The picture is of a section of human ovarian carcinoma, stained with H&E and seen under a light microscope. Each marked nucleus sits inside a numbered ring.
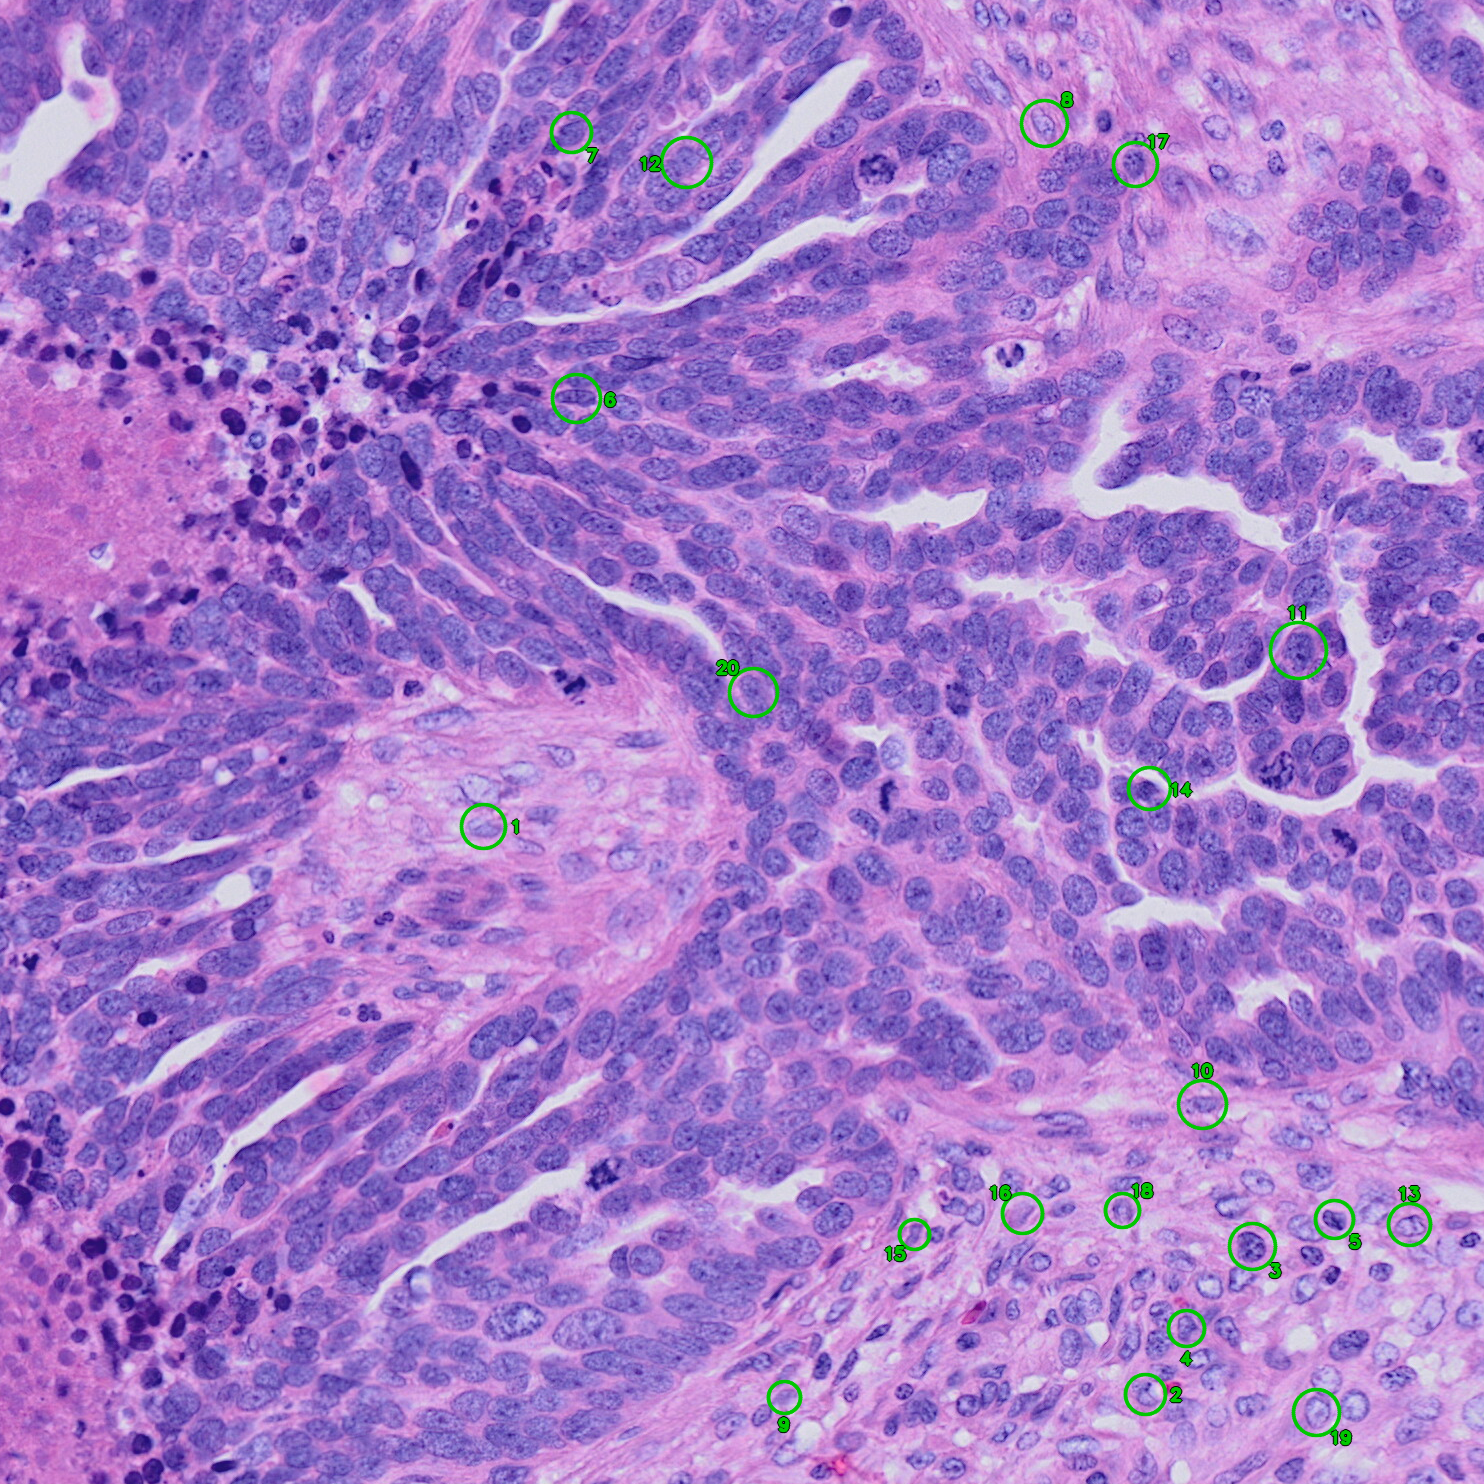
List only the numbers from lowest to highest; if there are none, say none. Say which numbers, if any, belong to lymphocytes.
5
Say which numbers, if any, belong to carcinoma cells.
6, 7, 11, 12, 14, 20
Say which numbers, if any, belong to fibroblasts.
1, 8, 9, 10, 13, 15, 16, 18, 19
